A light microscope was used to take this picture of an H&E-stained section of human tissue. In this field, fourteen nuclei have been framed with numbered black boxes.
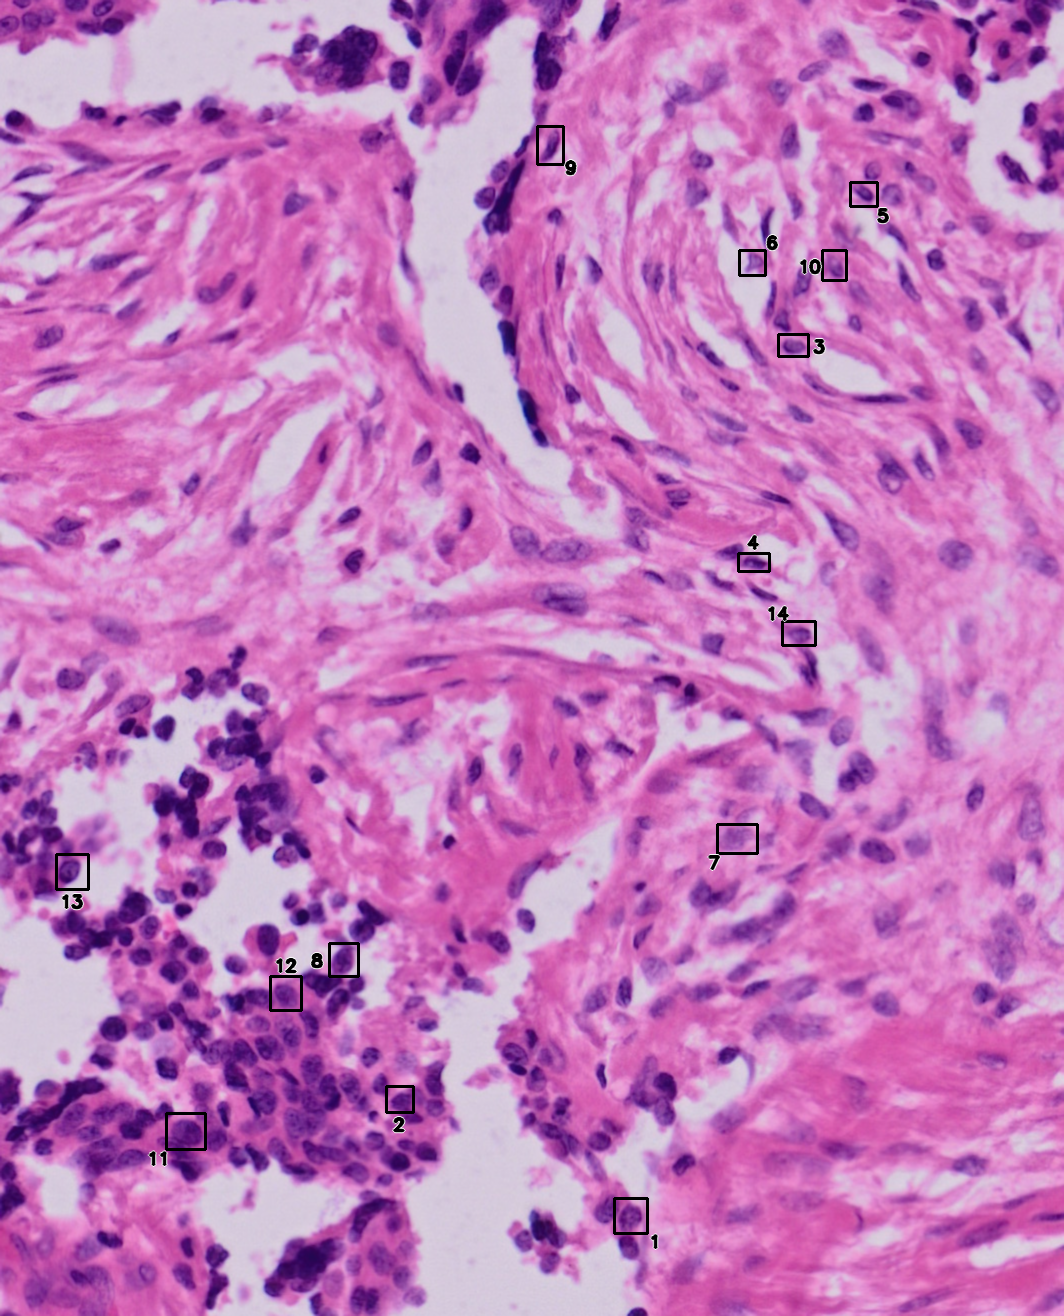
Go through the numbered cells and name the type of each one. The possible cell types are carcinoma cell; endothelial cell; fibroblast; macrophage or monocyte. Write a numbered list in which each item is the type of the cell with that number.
1. macrophage or monocyte
2. carcinoma cell
3. fibroblast
4. fibroblast
5. fibroblast
6. fibroblast
7. fibroblast
8. carcinoma cell
9. fibroblast
10. fibroblast
11. carcinoma cell
12. carcinoma cell
13. macrophage or monocyte
14. fibroblast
